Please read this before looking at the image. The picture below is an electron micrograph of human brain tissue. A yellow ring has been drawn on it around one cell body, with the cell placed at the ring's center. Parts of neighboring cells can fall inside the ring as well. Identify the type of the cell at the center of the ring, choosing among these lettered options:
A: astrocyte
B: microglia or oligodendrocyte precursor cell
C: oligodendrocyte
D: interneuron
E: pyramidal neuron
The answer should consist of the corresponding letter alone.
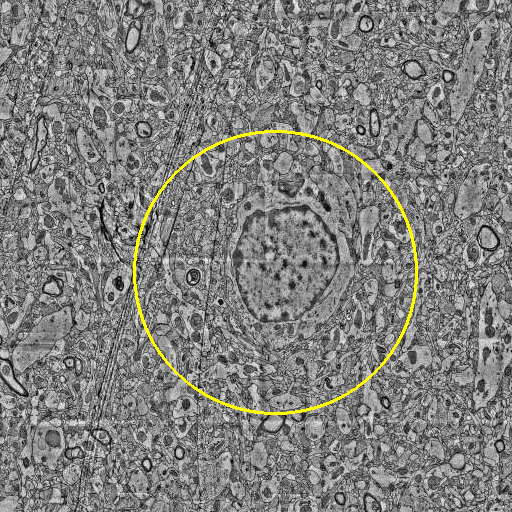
B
